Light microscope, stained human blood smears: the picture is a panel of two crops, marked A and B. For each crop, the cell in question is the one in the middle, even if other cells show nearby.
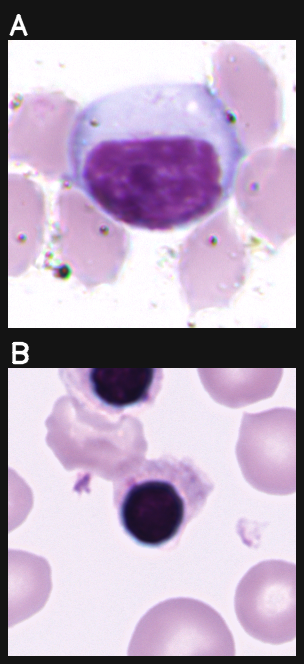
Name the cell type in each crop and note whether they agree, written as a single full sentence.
No, a plasma cell is the cell in crop A; a normoblast is the cell in crop B.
